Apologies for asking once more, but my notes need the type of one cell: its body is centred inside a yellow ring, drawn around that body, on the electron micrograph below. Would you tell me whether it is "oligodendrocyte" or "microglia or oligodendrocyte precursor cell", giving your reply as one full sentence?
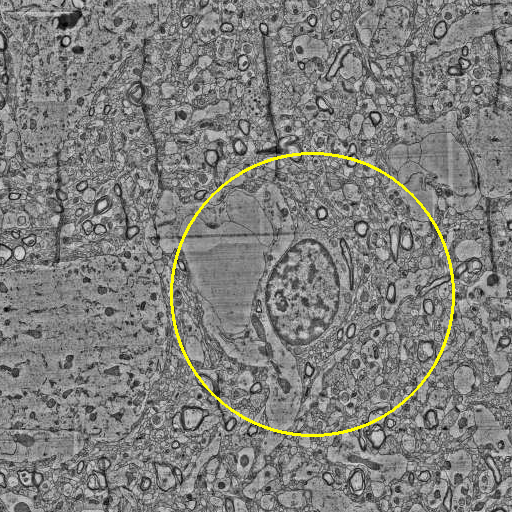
The cell that the yellow ring is centred on is an oligodendrocyte in this micrograph.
